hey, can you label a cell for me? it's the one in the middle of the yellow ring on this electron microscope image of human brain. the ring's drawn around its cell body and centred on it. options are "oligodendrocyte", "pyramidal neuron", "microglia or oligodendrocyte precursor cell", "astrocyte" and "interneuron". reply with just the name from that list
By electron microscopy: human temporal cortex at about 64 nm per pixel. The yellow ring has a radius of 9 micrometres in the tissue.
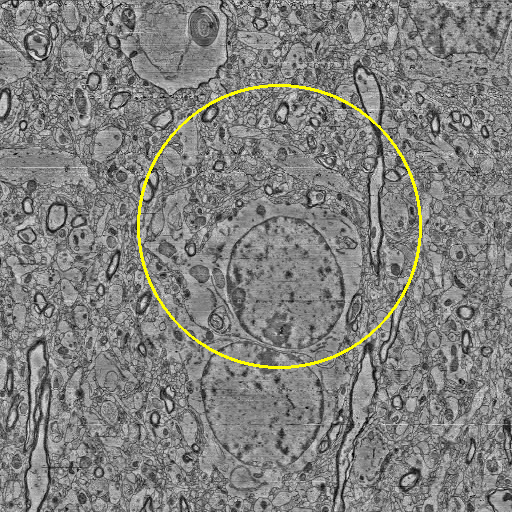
astrocyte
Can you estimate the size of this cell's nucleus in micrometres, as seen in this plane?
Approximately 9 micrometres long and 7 micrometres wide, in this plane.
